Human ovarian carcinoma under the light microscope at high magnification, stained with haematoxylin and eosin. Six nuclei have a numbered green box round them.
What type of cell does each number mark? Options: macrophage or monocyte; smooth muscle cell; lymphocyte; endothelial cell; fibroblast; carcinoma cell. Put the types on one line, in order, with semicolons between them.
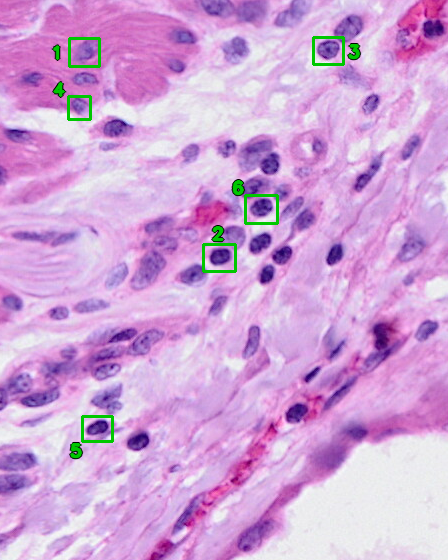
smooth muscle cell; lymphocyte; lymphocyte; smooth muscle cell; lymphocyte; lymphocyte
